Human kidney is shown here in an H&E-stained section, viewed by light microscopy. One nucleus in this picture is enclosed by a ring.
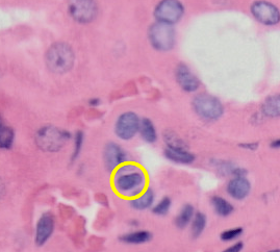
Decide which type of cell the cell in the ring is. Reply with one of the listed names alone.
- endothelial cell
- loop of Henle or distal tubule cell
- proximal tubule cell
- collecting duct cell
collecting duct cell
